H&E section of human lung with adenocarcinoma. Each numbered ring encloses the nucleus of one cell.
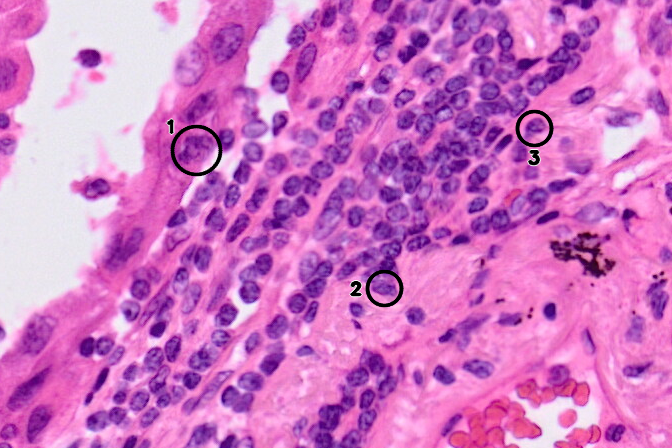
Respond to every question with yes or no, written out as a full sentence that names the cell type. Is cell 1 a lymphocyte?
No, number 1 points to a carcinoma cell and not to a lymphocyte.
